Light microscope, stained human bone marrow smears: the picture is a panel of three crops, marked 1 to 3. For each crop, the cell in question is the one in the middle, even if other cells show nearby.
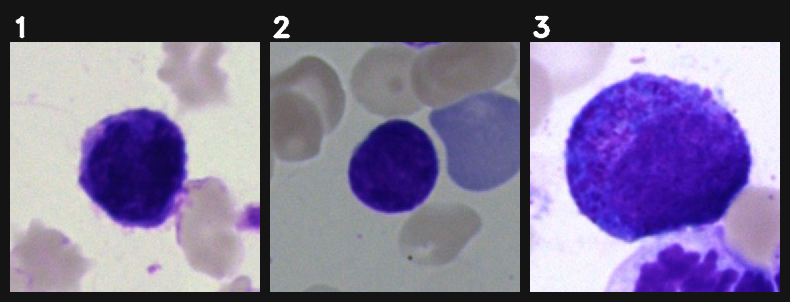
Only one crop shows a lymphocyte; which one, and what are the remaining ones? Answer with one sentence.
The crop labelled 2 shows a lymphocyte, whereas crop 1 is a blast and crop 3 is a promyelocyte.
